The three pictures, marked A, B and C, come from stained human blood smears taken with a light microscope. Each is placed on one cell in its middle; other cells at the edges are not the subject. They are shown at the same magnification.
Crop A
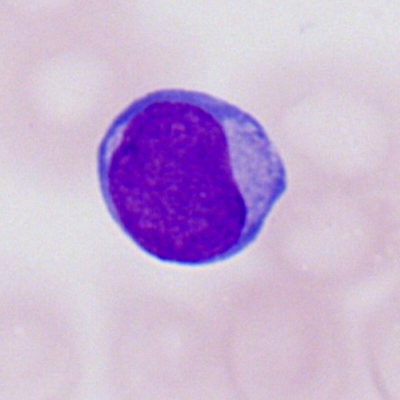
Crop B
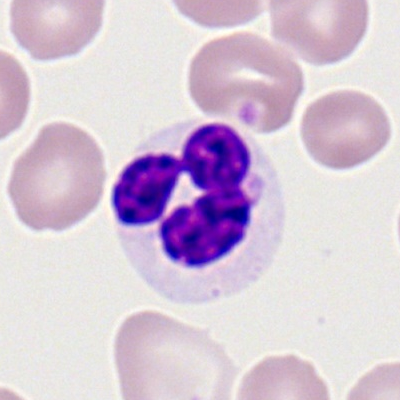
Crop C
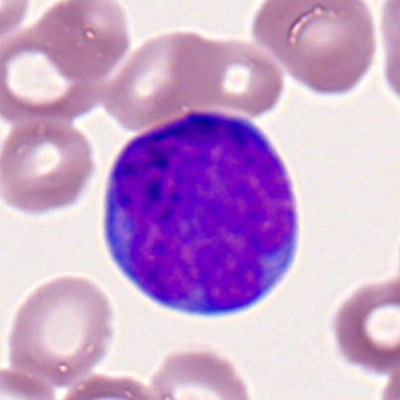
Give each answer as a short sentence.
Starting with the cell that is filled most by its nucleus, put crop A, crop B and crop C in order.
The most filled comes first: C, A, B.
